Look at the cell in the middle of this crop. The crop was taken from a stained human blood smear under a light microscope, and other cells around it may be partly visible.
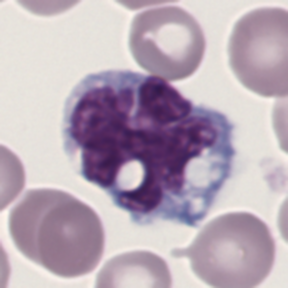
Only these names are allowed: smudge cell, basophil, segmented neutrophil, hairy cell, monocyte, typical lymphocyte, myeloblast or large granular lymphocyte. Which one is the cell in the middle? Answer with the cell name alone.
monocyte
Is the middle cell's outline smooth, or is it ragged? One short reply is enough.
The border of the cell is irregular, being either ragged or extended into projections.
